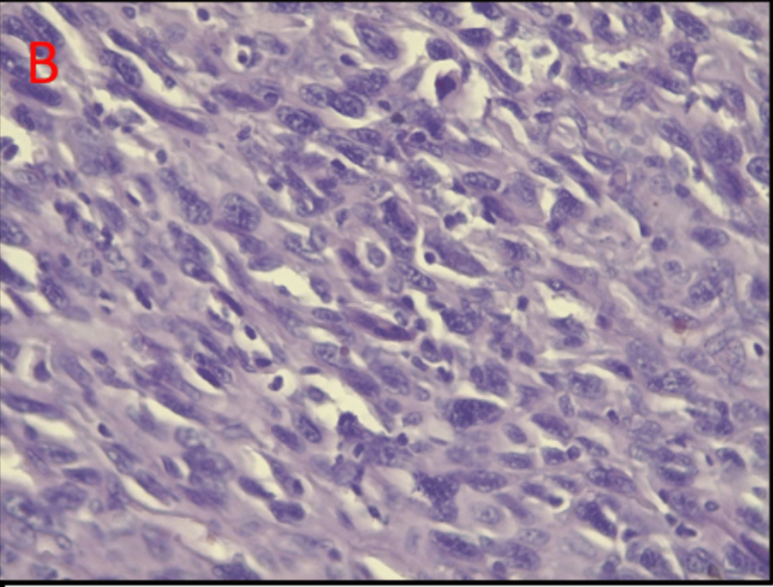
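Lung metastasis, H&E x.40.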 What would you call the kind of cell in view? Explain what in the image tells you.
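Densely packed elongated spindle-shaped cells. Nuclei vary in size and shape, many large and hyperchromatic. Cells run in roughly parallel streams.
Answer: pleomorphic spindle tumor cells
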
